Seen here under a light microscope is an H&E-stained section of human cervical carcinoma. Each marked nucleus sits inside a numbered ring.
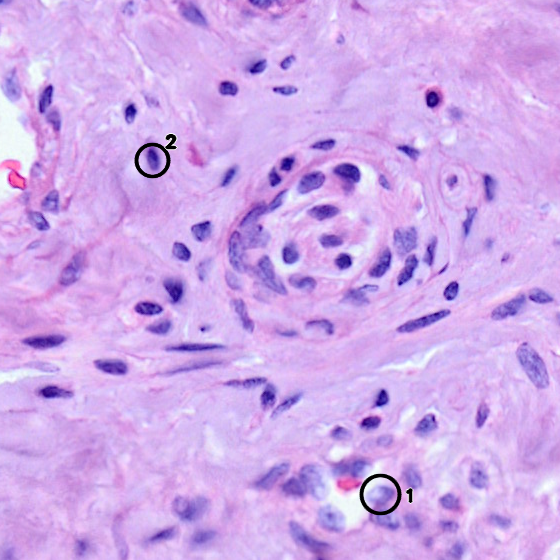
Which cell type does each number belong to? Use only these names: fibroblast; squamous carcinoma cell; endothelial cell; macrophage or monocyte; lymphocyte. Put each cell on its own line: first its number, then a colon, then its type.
1: endothelial cell
2: fibroblast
